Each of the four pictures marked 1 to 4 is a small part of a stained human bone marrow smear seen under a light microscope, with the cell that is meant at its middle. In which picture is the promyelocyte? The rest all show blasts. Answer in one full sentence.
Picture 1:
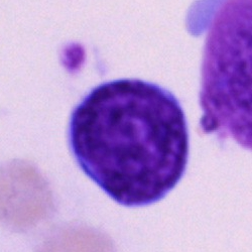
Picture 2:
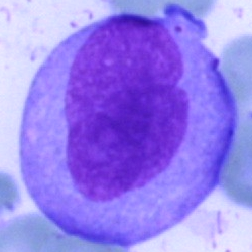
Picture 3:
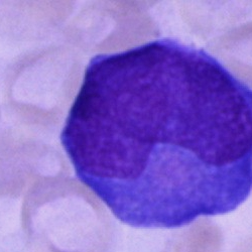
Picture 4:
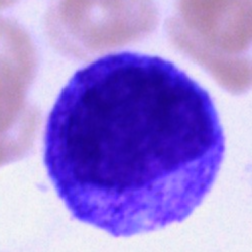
The picture with the promyelocyte is 4.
